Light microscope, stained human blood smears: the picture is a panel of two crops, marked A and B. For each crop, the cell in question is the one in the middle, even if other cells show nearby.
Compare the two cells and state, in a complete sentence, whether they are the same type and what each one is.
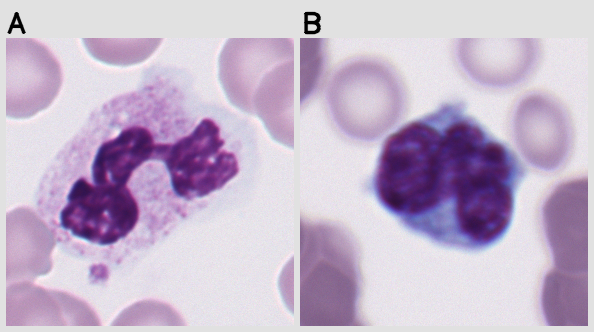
No, just to correct that: crop A shows a neutrophil, crop B shows a monocyte.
